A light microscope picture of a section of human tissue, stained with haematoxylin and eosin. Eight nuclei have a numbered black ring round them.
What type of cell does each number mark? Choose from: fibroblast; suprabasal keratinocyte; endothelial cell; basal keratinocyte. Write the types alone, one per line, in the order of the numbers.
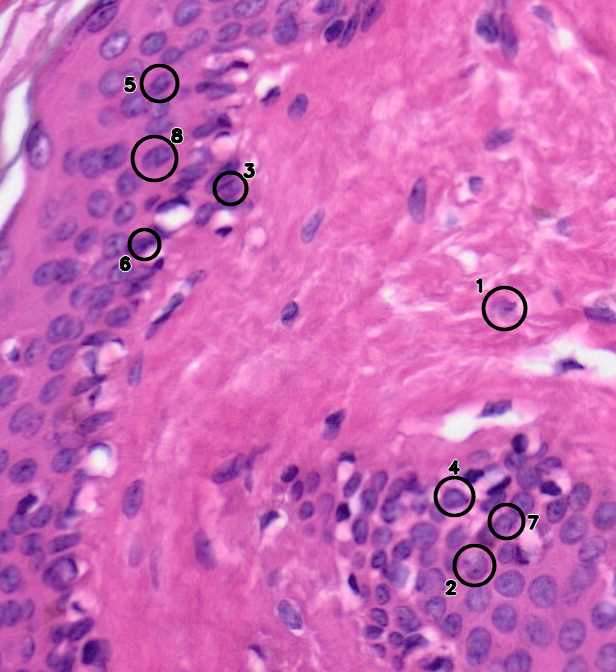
fibroblast
basal keratinocyte
basal keratinocyte
basal keratinocyte
suprabasal keratinocyte
basal keratinocyte
basal keratinocyte
suprabasal keratinocyte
